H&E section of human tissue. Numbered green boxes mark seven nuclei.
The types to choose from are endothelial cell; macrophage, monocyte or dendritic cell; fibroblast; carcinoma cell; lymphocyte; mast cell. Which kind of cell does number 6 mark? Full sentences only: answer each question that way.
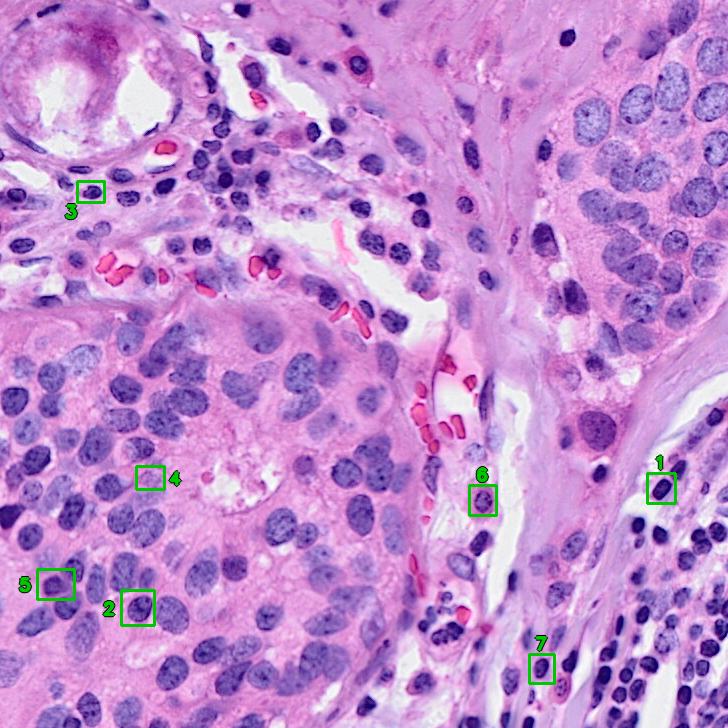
Numbered cell 6 is a mast cell in this tissue section.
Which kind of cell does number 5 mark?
Nucleus 5 in this section belongs to a carcinoma cell.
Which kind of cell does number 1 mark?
The cell with the number 1 is a lymphocyte.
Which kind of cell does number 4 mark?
The label 4 in this section denotes a carcinoma cell.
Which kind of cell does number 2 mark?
Classified as a carcinoma cell is the cell with the number 2.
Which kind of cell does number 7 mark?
The label 7 in this section denotes a lymphocyte.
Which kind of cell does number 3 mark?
The cell that bears the number 3 is a lymphocyte.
